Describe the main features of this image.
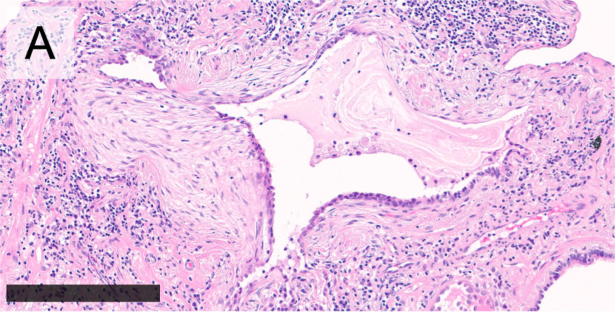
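The section shows a fibrotic lesion in which a young lesion overlies older scarring. It consists of many spindle-shaped cells in a pale pink, loose matrix and is lined along an irregular space by a single layer of cuboidal epithelial cells. Dense clusters of small, dark, round inflammatory cells lie in the surrounding stroma, and a small black pigment deposit is seen at the right edge.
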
